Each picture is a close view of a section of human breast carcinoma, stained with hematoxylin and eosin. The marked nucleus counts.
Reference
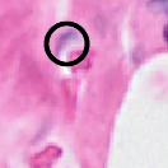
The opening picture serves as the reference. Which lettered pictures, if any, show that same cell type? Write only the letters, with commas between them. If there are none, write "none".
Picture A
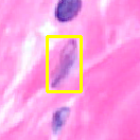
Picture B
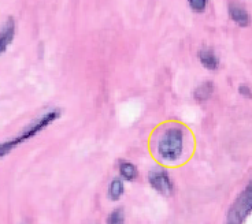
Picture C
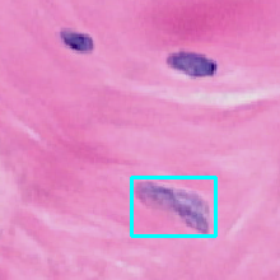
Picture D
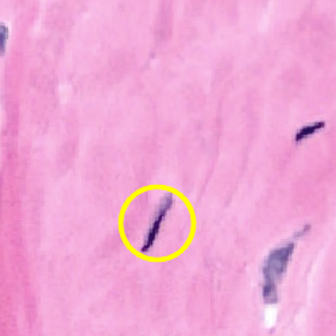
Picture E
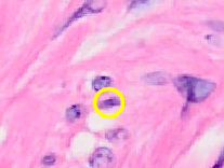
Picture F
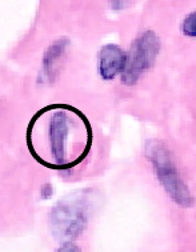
B, E, F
